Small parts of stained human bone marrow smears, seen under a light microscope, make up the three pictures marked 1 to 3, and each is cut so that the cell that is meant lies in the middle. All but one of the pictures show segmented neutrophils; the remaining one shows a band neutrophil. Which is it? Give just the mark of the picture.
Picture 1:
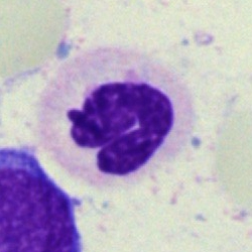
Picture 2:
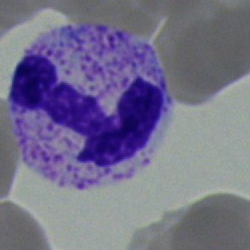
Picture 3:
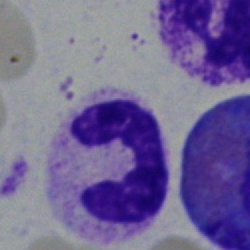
3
